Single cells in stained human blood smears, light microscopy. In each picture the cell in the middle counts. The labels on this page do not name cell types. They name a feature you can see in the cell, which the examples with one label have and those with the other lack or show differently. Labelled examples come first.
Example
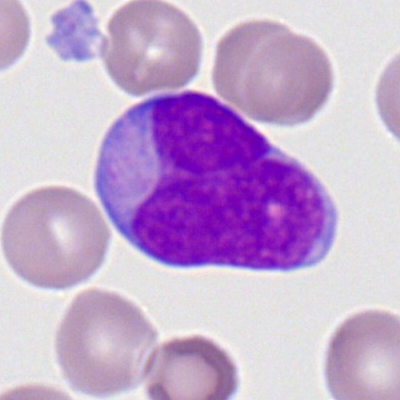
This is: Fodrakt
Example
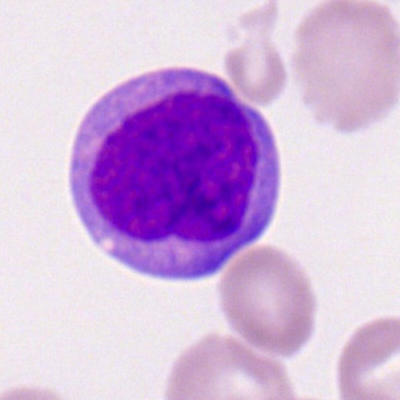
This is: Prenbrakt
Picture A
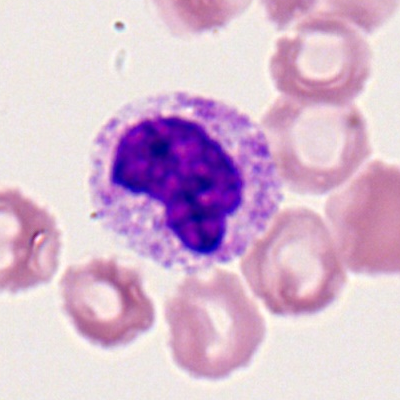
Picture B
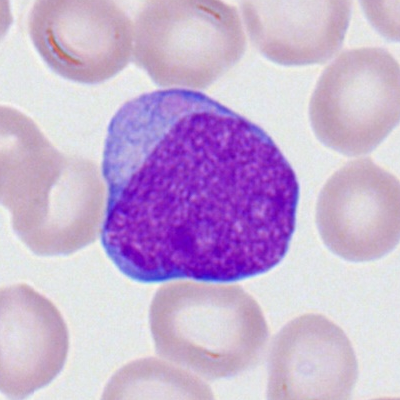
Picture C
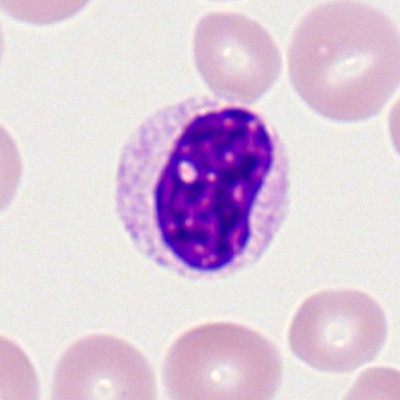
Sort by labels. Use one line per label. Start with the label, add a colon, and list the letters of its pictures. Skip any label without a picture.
Prenbrakt: A, B, C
